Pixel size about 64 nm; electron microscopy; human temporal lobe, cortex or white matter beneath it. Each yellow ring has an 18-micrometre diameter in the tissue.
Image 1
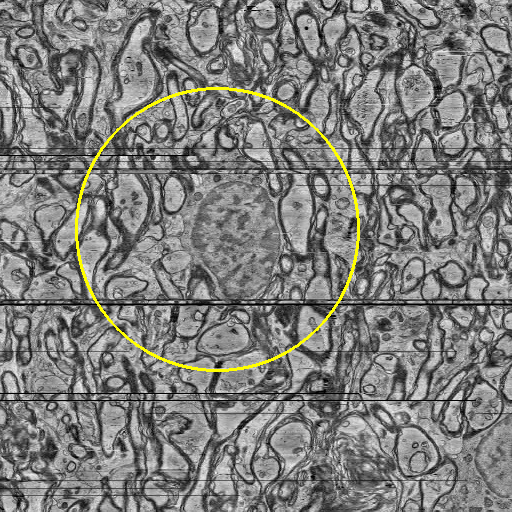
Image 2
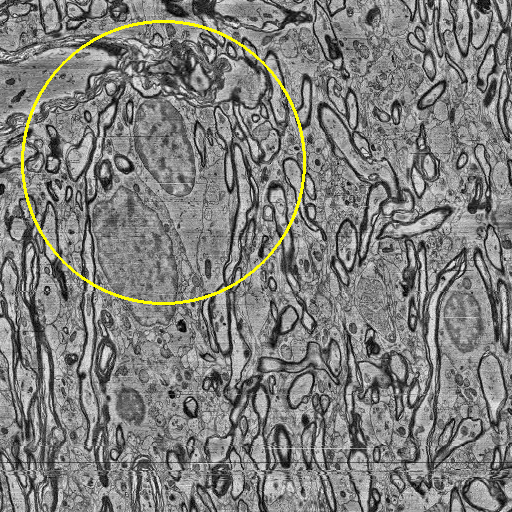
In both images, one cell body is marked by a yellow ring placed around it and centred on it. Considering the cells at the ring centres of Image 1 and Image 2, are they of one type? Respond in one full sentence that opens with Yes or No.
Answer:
No, two types apply to the ring-centred cells of Image 1 and Image 2.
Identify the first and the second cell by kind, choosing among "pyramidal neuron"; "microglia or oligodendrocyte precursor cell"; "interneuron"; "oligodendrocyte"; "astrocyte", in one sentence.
The one in the first picture is an oligodendrocyte, while the one in the second is a microglial cell or oligodendrocyte precursor cell.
